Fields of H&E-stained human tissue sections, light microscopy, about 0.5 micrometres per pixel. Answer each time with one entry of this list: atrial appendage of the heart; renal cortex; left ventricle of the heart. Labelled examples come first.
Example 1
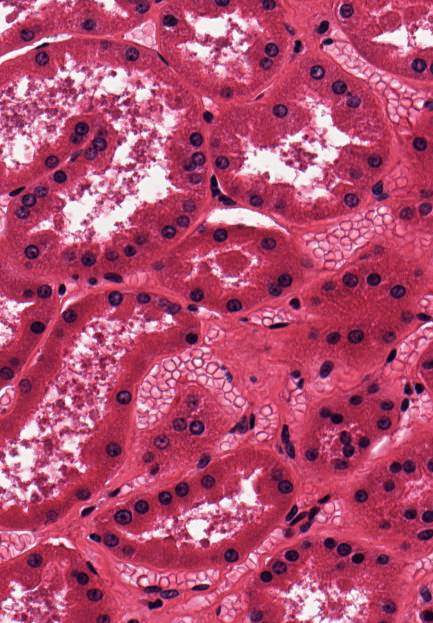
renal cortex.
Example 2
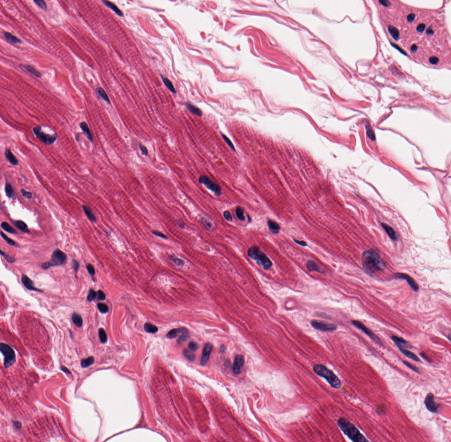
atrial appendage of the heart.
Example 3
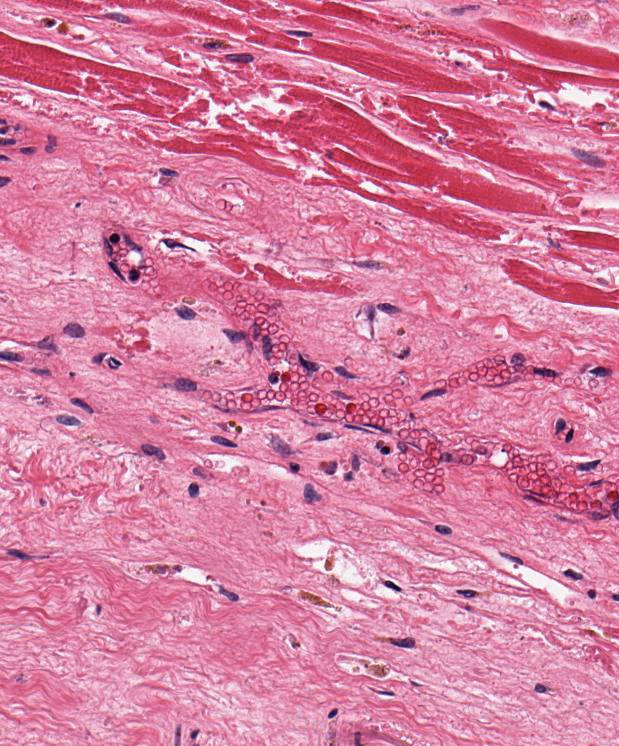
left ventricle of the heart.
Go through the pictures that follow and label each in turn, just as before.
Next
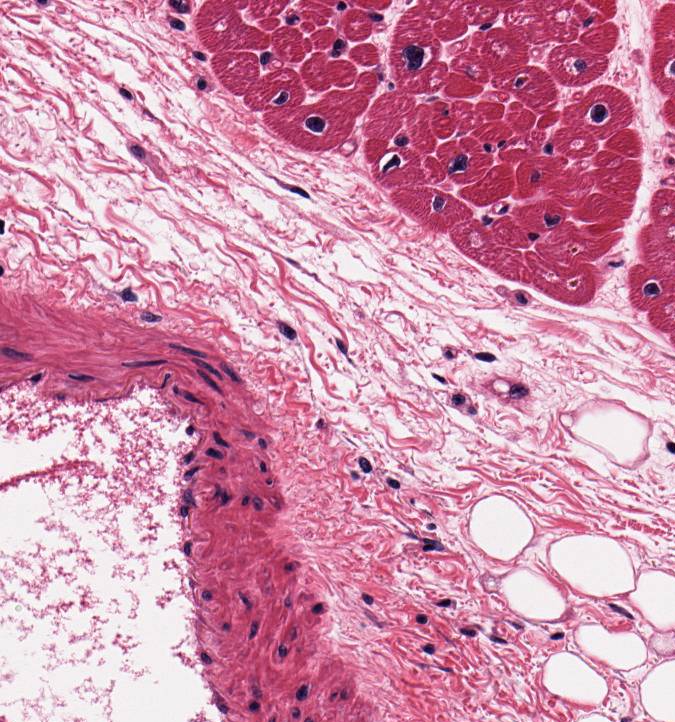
left ventricle of the heart.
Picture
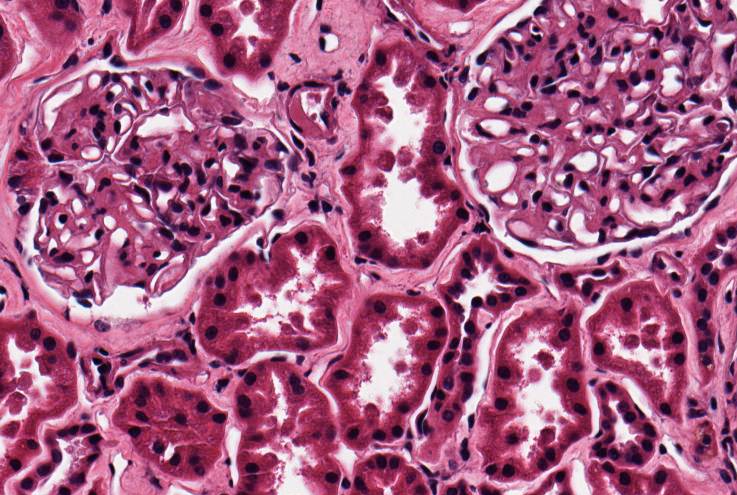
renal cortex.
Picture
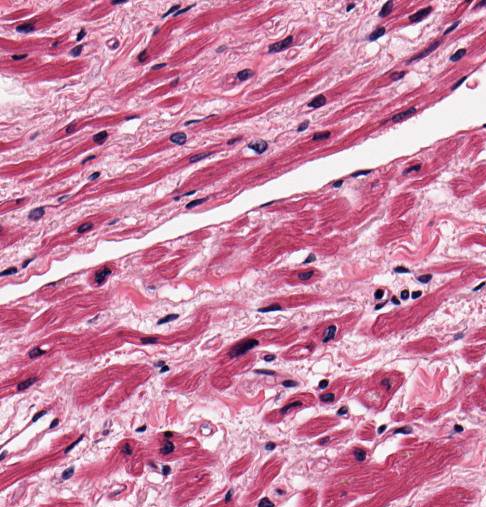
atrial appendage of the heart.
